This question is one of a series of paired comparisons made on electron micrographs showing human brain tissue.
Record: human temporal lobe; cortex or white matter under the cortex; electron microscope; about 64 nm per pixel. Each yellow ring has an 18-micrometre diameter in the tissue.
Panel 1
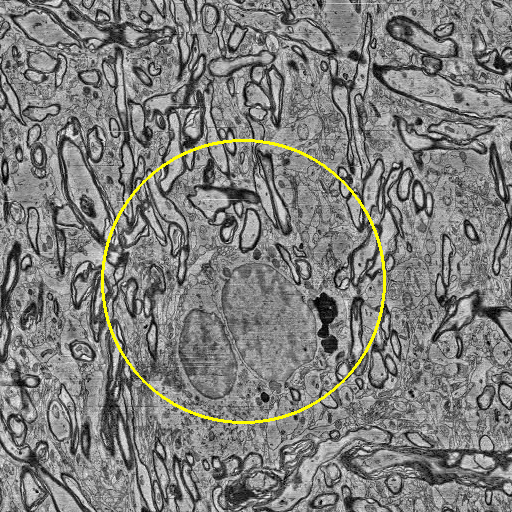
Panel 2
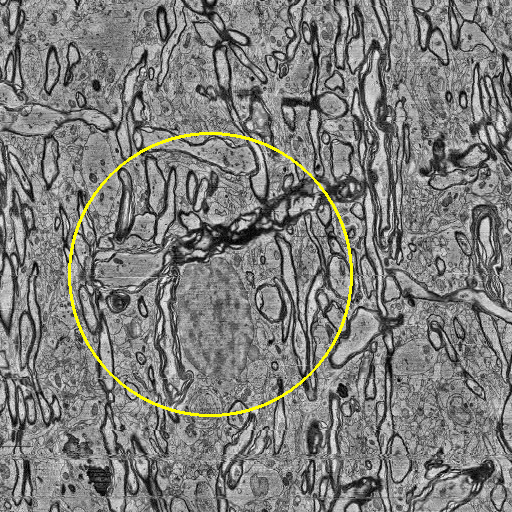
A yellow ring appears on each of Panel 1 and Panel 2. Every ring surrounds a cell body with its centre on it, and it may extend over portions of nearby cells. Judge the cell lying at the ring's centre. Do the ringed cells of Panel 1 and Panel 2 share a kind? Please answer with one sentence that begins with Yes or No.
Yes, the ring-centre cell in Panel 1 and the one in Panel 2 are of one kind.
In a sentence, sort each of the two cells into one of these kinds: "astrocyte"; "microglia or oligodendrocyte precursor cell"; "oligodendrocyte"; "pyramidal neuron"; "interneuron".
The cell in the first picture is an oligodendrocyte, and so is the one in the second.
